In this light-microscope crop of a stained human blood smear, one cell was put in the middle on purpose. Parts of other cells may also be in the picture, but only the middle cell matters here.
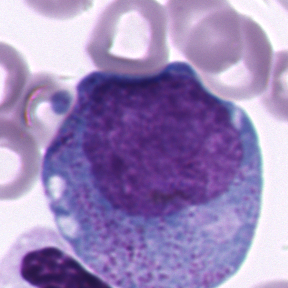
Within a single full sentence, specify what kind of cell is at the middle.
The cell sitting right in the middle is a promyelocyte.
